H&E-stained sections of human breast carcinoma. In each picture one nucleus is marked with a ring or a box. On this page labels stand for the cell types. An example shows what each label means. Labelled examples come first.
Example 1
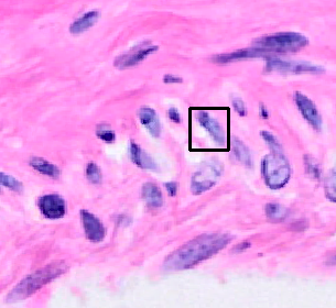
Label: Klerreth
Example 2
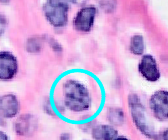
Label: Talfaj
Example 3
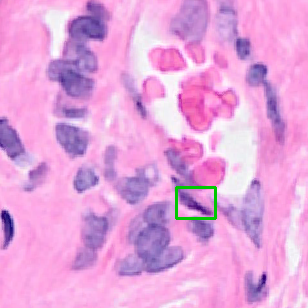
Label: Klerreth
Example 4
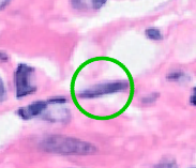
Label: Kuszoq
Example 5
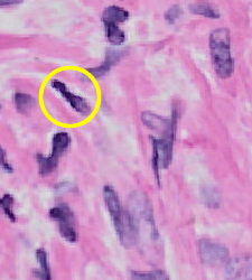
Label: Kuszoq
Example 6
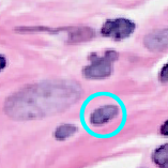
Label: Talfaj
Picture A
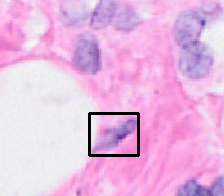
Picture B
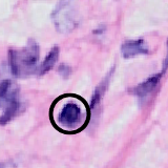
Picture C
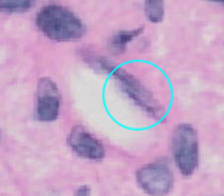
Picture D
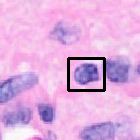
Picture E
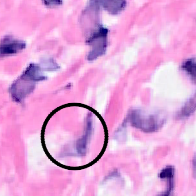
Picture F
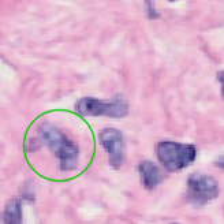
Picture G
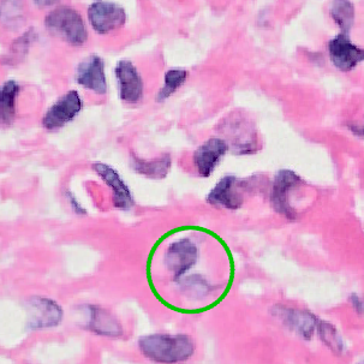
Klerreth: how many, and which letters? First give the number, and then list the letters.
2, namely C, F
